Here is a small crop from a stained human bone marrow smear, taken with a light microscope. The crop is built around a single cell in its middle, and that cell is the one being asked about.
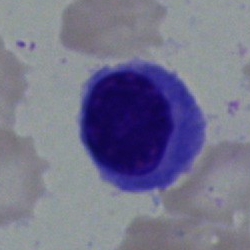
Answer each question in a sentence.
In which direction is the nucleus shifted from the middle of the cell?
Toward the left of the cell lies its nucleus.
